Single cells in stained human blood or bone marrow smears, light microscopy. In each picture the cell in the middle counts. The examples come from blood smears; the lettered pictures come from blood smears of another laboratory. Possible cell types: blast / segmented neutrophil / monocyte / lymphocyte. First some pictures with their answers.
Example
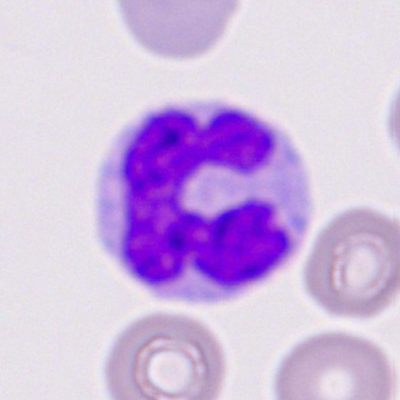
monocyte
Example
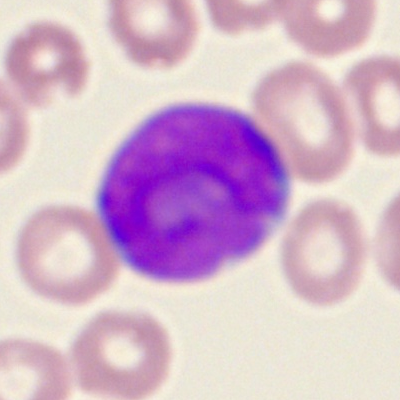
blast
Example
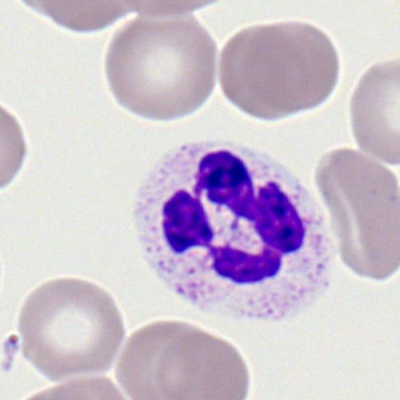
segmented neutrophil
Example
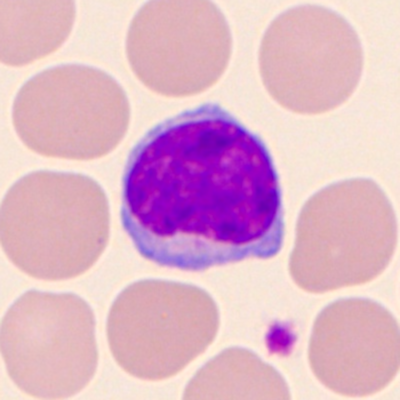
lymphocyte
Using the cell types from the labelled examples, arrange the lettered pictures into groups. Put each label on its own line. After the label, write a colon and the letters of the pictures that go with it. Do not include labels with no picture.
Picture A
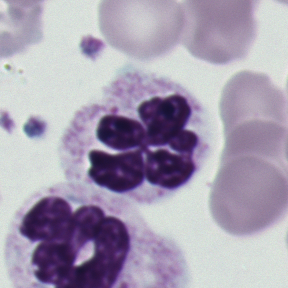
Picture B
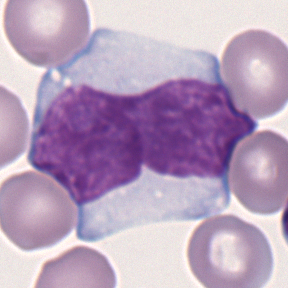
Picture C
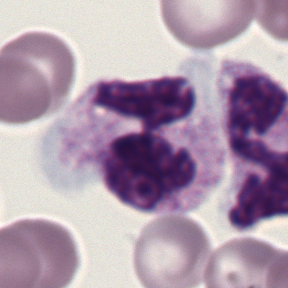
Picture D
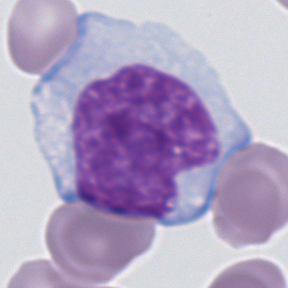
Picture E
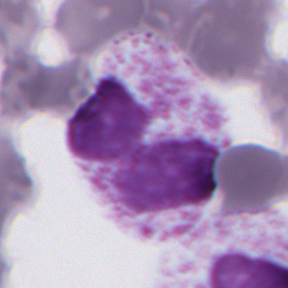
blast: B, D
segmented neutrophil: A, C, E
